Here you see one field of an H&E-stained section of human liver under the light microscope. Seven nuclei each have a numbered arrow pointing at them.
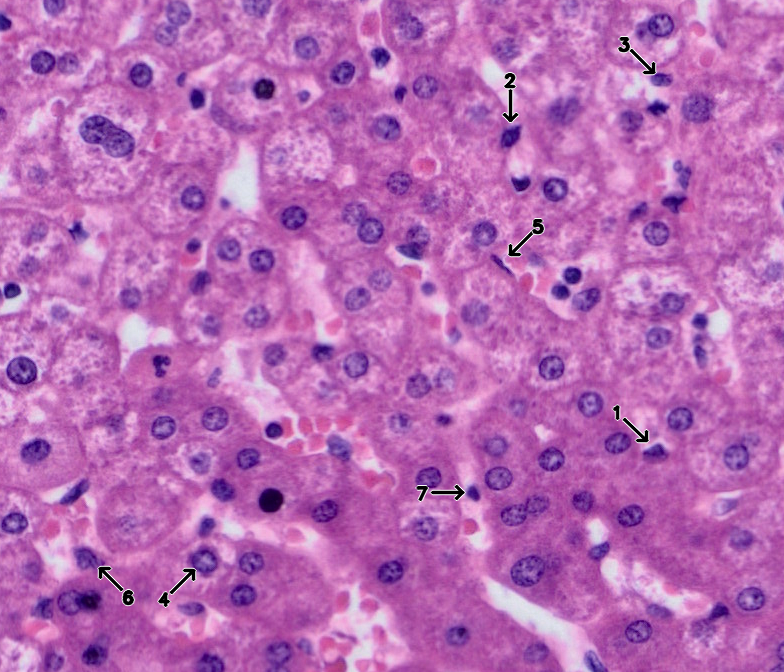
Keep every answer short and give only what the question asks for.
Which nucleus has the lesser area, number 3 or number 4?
3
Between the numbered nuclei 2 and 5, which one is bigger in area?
2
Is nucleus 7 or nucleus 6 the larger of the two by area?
6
